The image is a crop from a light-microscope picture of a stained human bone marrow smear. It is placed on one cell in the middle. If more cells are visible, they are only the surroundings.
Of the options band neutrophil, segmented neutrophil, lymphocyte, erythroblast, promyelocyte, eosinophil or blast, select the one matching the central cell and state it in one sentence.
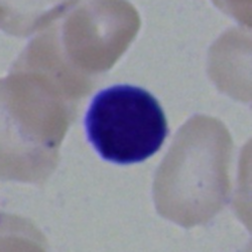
The cell of interest, located centrally, is a lymphocyte.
